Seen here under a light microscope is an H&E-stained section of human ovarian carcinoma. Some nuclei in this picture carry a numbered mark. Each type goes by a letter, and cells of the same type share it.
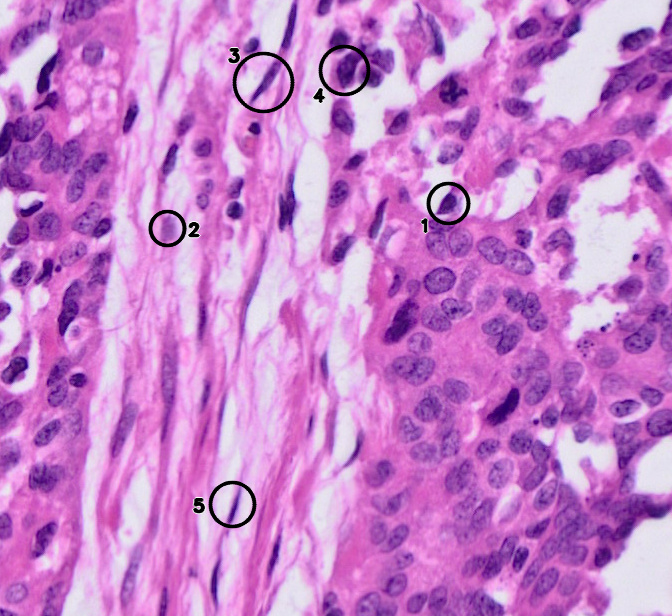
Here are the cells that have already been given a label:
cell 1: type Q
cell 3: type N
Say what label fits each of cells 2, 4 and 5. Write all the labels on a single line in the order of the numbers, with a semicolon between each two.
type N; type Q; type N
